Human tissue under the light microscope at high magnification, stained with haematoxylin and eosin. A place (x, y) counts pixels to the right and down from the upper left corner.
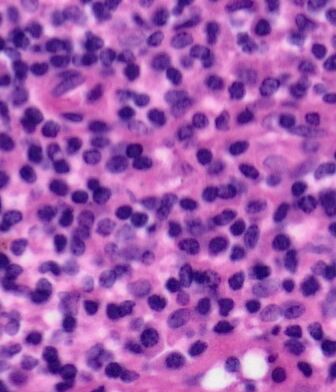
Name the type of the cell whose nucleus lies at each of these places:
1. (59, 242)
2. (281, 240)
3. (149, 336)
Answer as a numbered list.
1. small lymphocyte
2. plasma cell
3. plasma cell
